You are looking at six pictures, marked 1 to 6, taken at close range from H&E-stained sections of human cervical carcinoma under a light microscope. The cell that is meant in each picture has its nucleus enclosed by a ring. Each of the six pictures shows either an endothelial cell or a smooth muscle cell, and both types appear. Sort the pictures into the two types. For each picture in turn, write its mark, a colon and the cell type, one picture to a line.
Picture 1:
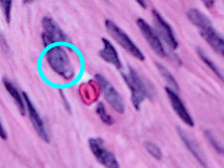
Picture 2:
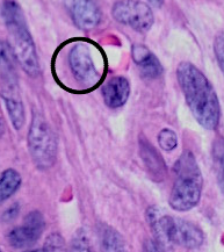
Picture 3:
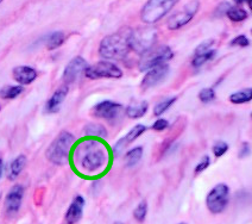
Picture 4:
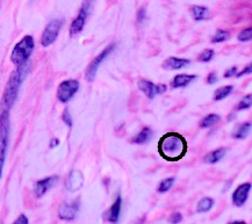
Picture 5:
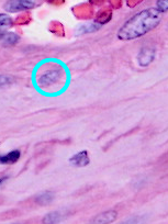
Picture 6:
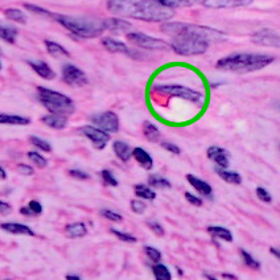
1: endothelial cell
2: endothelial cell
3: endothelial cell
4: smooth muscle cell
5: smooth muscle cell
6: endothelial cell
